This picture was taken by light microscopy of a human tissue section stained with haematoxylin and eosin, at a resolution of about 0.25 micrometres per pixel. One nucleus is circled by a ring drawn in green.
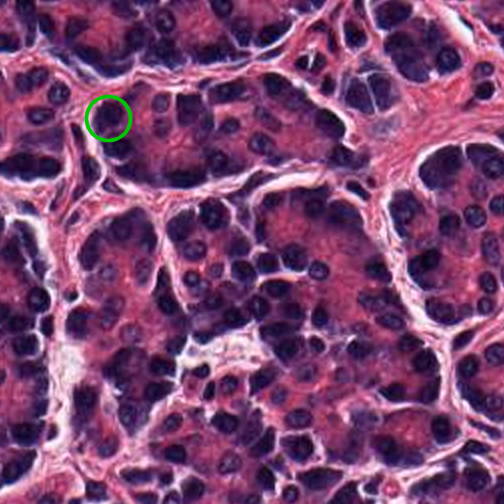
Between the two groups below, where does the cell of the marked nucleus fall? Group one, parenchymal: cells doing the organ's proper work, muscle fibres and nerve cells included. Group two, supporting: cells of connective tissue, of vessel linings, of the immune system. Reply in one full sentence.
On this slide the marked nucleus belongs to a parenchymal cell, namely a pancreatic acinar cell.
